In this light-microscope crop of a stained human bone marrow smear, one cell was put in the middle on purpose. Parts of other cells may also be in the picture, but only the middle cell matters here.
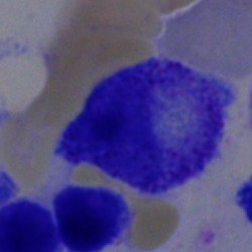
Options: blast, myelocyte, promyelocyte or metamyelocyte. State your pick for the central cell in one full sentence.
Regarding the central cell, it is a myelocyte.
